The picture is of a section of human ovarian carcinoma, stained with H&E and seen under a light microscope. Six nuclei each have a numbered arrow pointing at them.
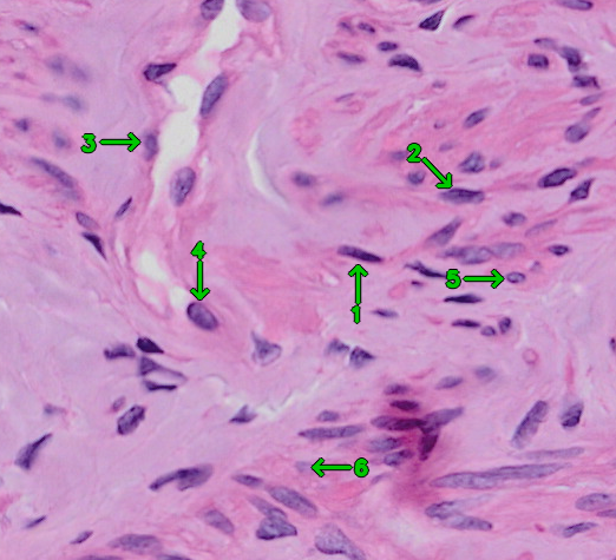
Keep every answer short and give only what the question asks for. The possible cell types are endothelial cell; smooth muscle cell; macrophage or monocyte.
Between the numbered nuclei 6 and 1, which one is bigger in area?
1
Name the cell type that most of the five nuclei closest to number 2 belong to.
smooth muscle cell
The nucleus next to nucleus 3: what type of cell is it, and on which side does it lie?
an endothelial cell below and to the right of nucleus 3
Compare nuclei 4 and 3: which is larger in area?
4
